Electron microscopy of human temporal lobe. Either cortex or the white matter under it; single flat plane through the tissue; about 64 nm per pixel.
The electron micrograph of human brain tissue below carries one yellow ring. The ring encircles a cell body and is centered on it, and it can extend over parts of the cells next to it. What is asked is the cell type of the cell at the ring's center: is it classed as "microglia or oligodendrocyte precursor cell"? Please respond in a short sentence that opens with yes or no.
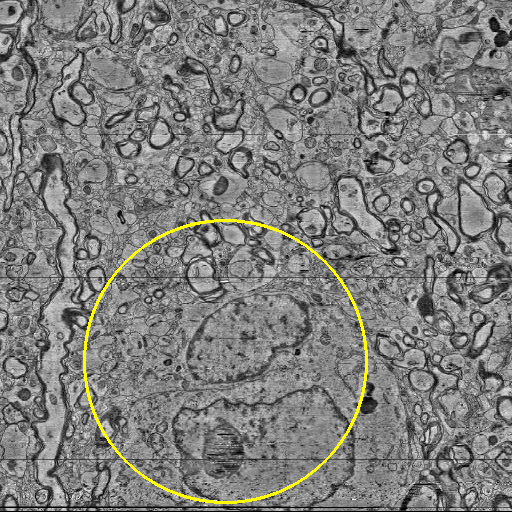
Yes, it is classed that way.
